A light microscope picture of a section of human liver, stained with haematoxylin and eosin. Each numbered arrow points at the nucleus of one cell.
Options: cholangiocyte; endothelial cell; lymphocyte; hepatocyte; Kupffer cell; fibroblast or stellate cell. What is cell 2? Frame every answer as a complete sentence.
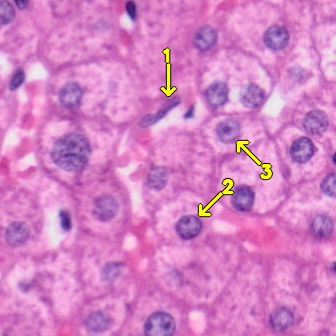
The cell identified by the number 2 is a hepatocyte.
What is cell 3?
The cell that goes by number 3 is a hepatocyte.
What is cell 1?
Cell 1 in the field is a Kupffer cell.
